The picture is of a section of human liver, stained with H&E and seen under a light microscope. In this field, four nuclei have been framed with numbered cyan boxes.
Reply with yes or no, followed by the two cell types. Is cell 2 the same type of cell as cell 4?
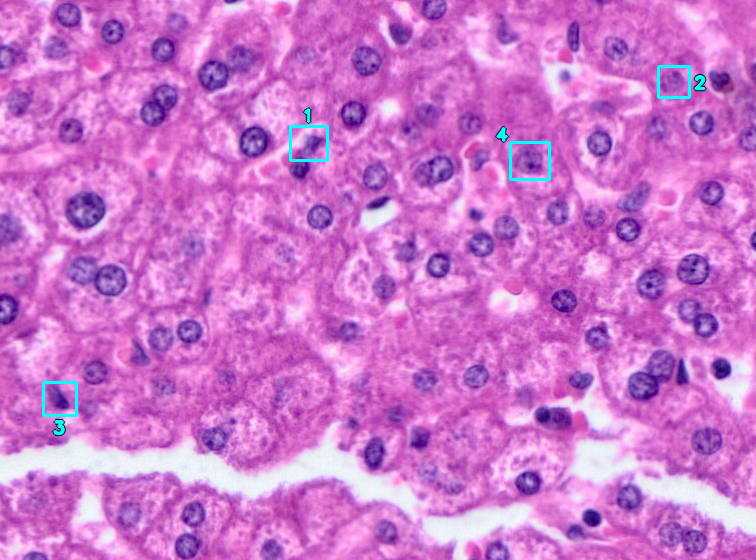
Yes, cell number 2 and cell number 4 are both hepatocytes.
